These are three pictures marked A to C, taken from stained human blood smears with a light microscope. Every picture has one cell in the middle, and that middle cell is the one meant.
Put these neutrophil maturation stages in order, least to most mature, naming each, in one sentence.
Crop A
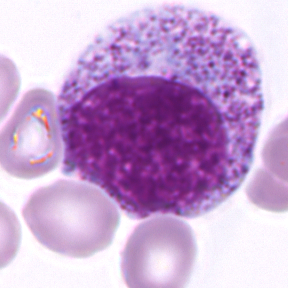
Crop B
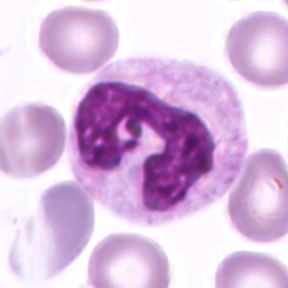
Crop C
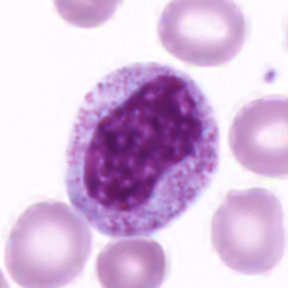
Least to most mature, the order stands as crop A (a promyelocyte), crop C (a metamyelocyte) and crop B (a band neutrophil).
